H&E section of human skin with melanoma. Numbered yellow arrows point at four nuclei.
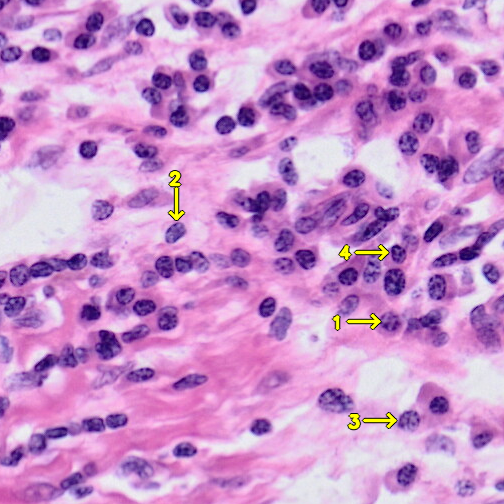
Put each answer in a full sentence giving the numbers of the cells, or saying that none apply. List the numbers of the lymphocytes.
Of the numbered nuclei, only the one labelled 2 belongs to a lymphocyte.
